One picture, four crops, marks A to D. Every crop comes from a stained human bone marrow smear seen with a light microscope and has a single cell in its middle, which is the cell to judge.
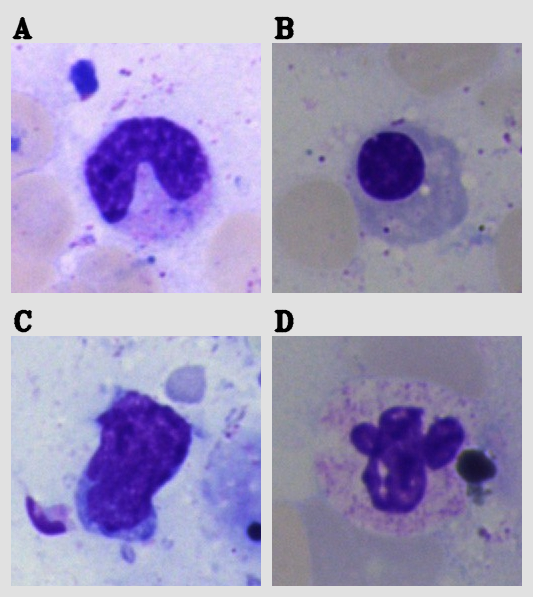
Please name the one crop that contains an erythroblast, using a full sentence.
Among the crops given, only crop B shows an erythroblast.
